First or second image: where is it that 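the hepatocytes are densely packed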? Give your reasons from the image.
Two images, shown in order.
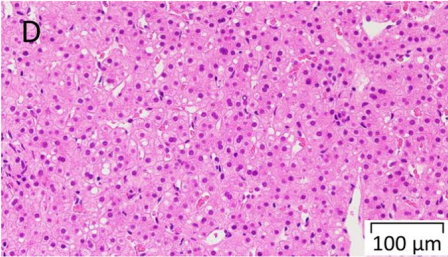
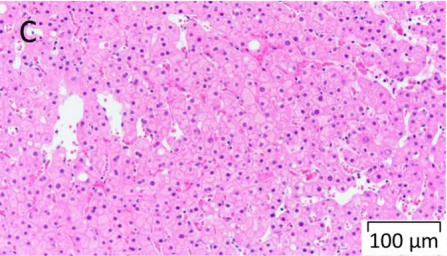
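The first image. First image: hepatocytes are closely crowded with nuclei near one another. Second image: hepatocytes are larger and paler, with nuclei spaced further apart.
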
